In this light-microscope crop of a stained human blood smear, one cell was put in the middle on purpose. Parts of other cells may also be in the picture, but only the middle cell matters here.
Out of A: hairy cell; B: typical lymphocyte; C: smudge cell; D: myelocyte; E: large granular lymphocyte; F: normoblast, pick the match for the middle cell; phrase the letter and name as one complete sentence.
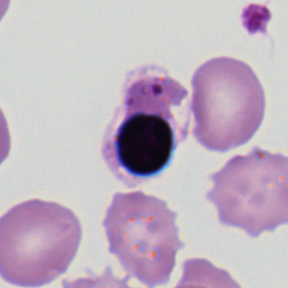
Answer key: option F, the middle cell being a normoblast.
